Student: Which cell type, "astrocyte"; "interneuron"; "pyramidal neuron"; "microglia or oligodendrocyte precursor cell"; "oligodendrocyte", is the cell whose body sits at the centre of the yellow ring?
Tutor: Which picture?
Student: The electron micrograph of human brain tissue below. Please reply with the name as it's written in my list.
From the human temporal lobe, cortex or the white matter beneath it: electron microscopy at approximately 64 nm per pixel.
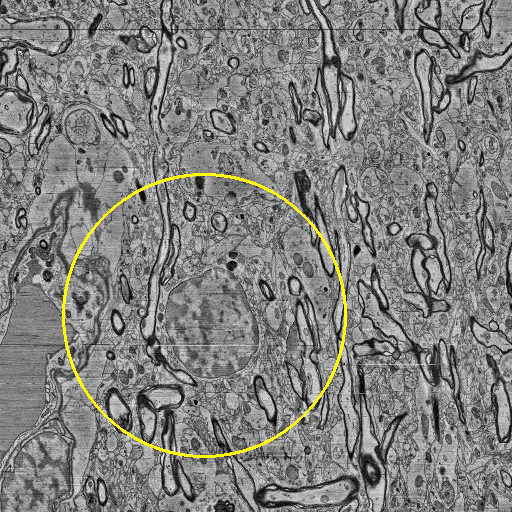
microglia or oligodendrocyte precursor cell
